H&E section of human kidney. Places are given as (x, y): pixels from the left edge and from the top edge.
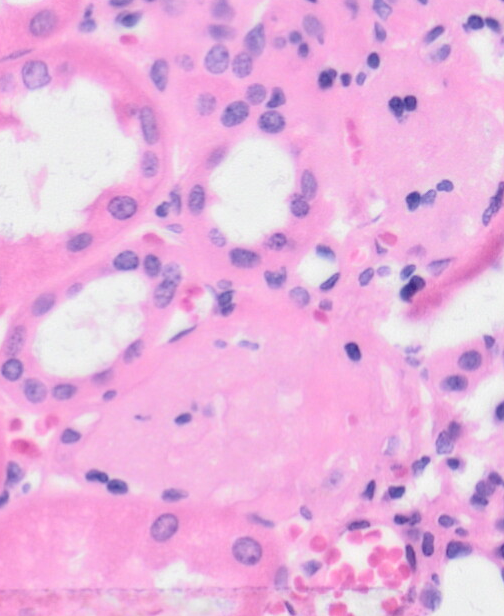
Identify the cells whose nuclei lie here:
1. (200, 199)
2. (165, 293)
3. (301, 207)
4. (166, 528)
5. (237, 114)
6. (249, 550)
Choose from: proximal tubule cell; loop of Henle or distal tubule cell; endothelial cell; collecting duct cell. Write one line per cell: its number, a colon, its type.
1: collecting duct cell
2: collecting duct cell
3: collecting duct cell
4: proximal tubule cell
5: collecting duct cell
6: proximal tubule cell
